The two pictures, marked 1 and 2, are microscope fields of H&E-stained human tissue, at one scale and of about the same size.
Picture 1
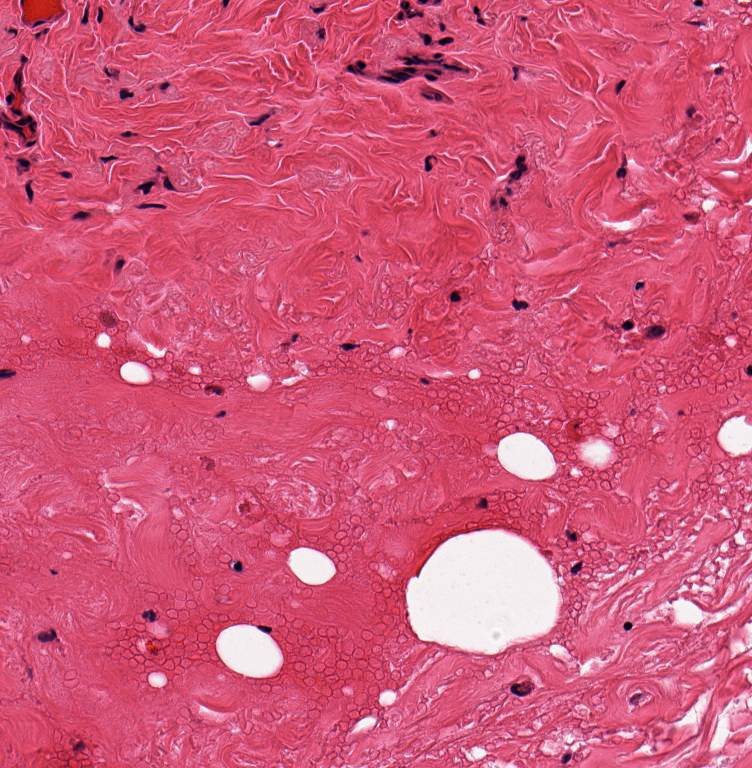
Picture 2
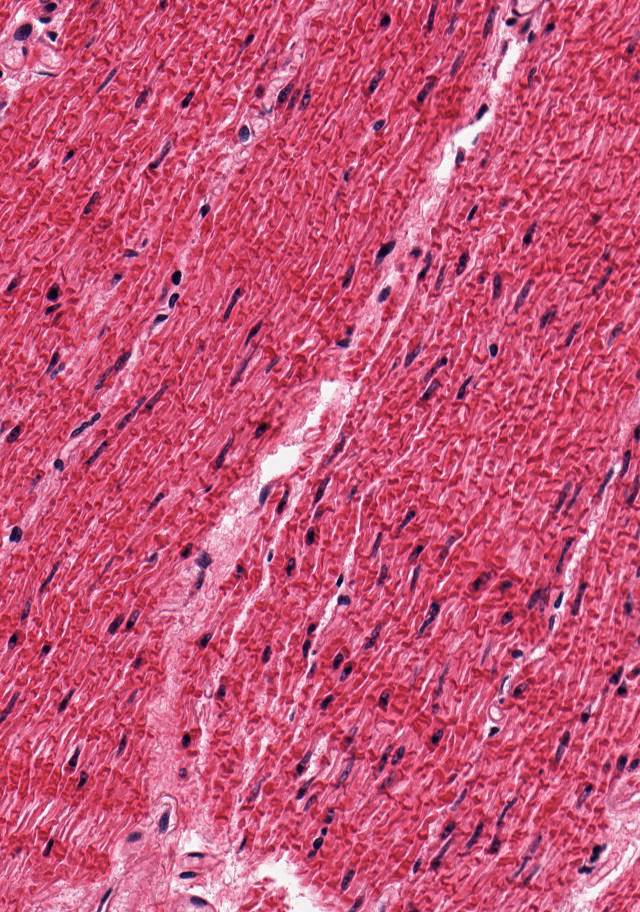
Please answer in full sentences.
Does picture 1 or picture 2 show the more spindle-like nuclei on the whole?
The nuclei are more elongated in picture 2.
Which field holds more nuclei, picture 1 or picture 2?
It is picture 2 that has more nuclei in it.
